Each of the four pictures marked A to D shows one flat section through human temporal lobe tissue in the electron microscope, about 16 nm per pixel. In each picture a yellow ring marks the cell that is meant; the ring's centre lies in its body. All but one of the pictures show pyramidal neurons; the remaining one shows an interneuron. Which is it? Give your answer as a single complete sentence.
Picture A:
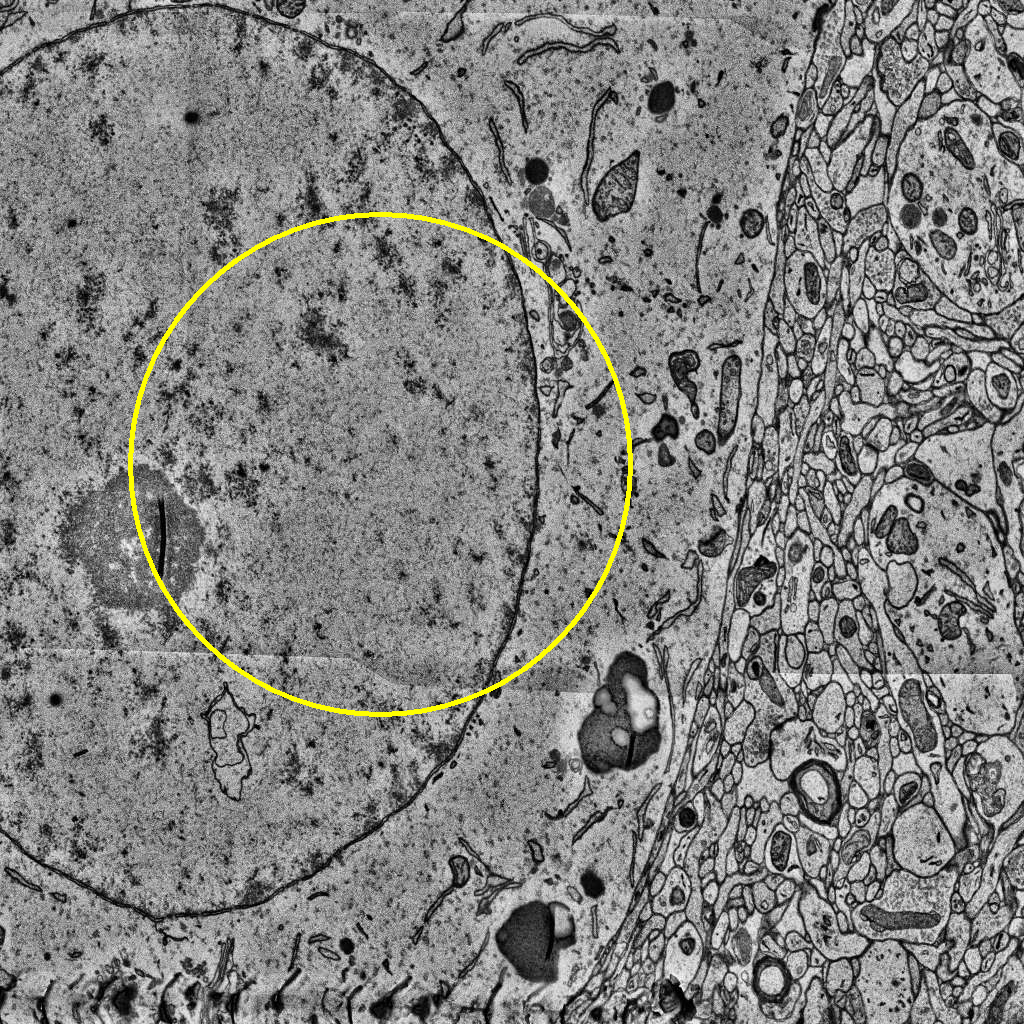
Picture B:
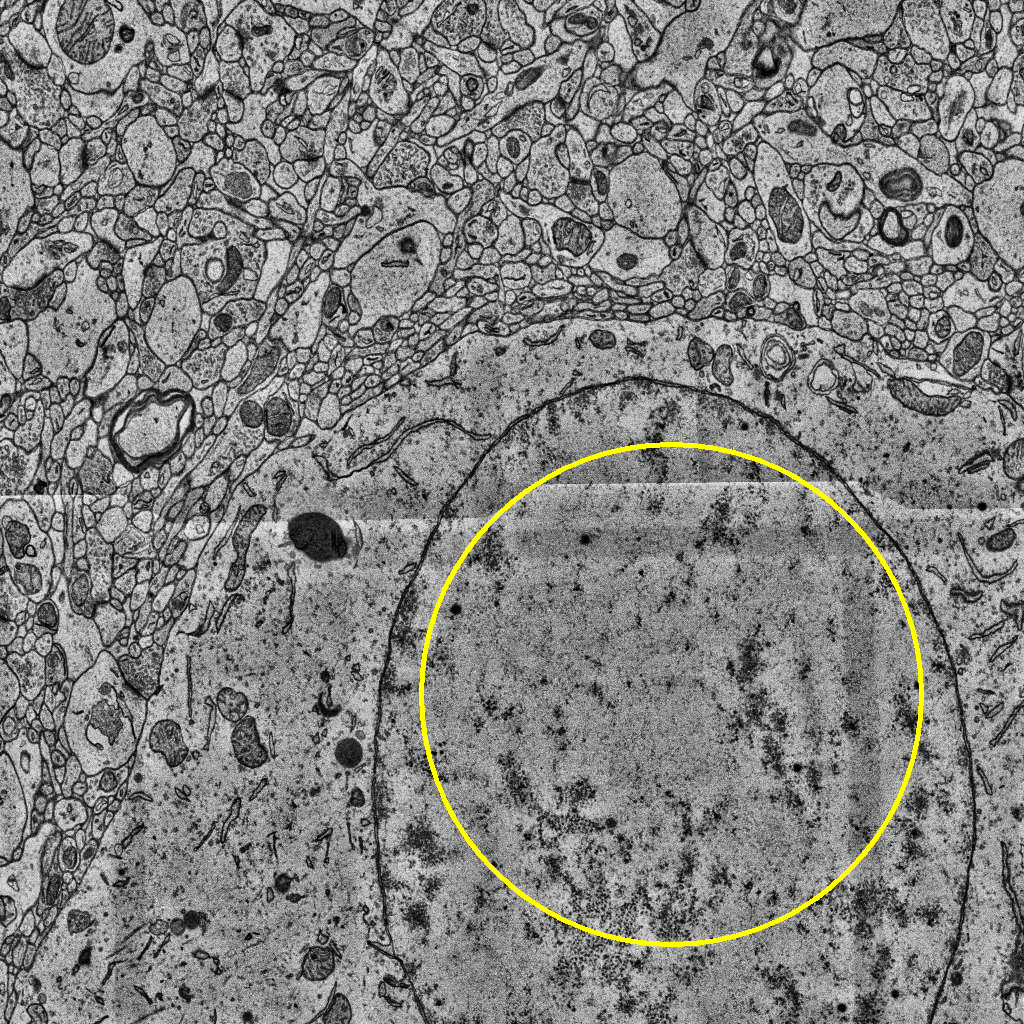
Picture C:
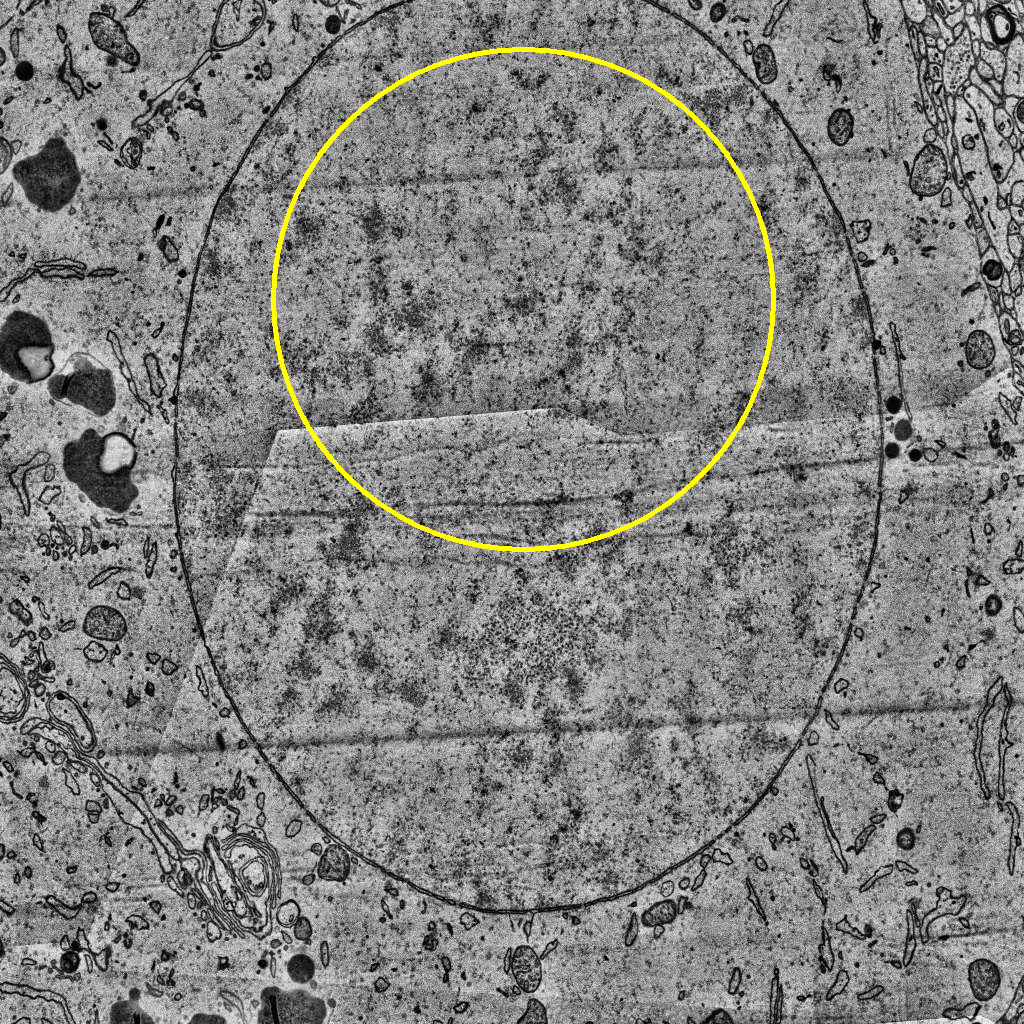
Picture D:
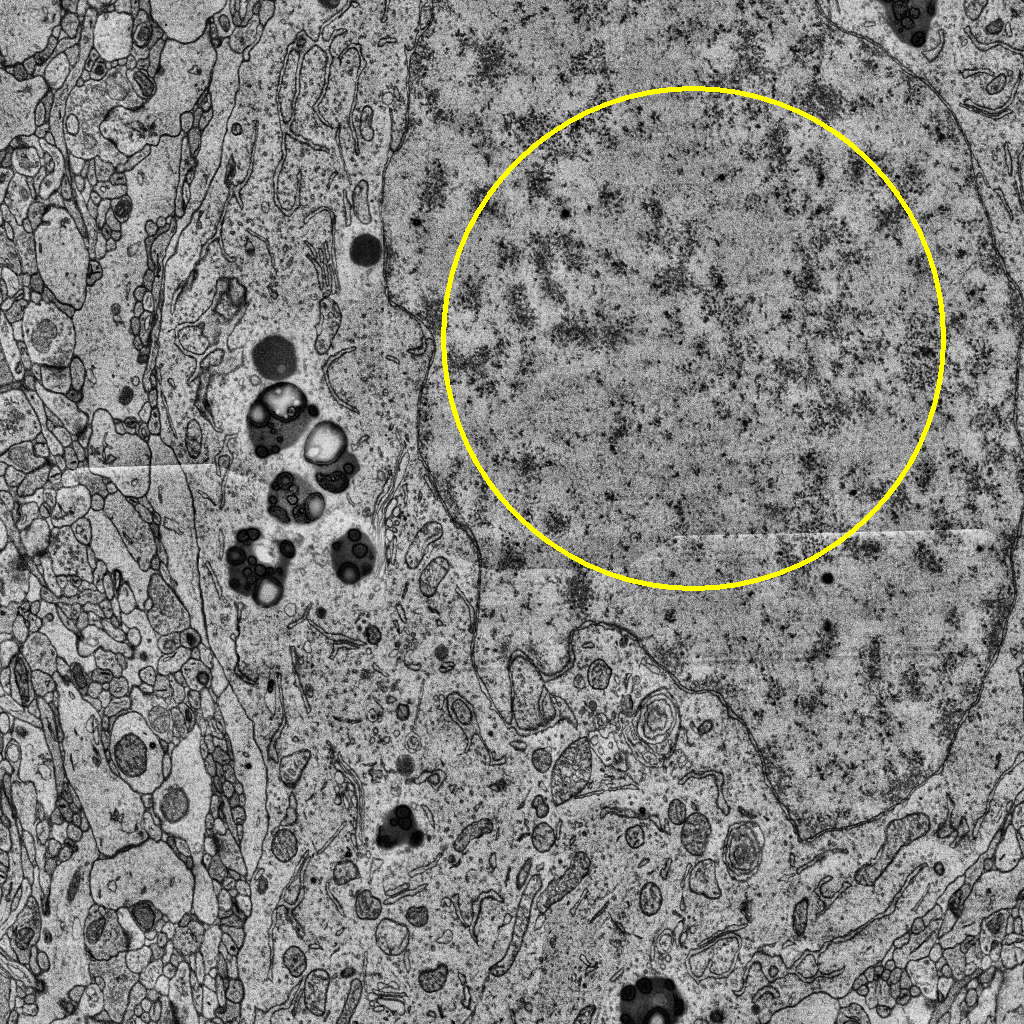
Picture D shows the interneuron.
